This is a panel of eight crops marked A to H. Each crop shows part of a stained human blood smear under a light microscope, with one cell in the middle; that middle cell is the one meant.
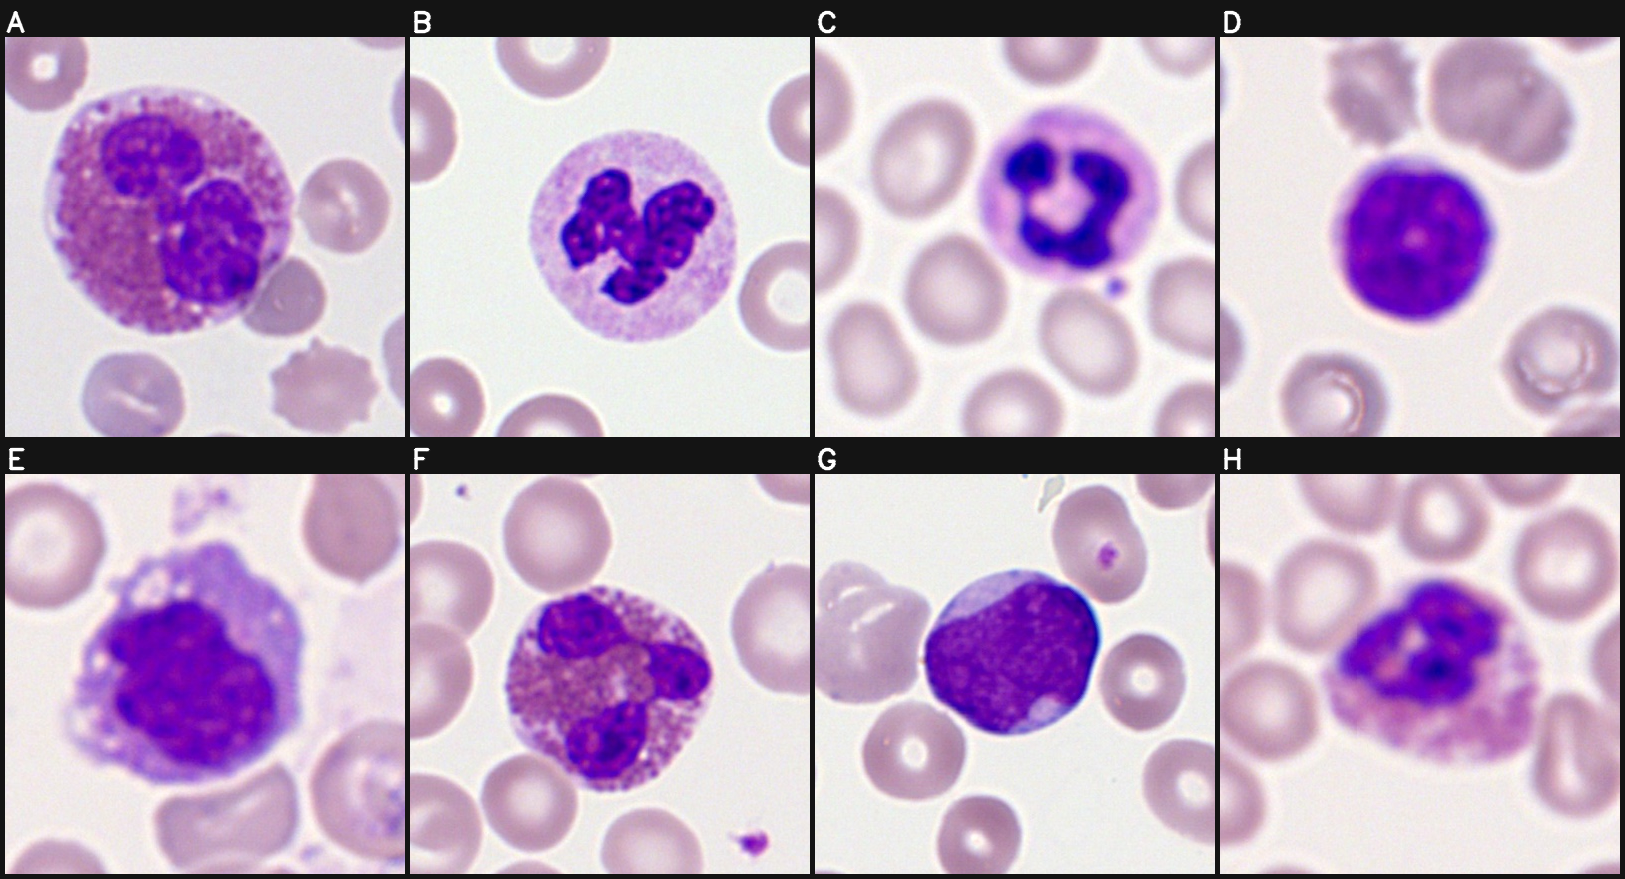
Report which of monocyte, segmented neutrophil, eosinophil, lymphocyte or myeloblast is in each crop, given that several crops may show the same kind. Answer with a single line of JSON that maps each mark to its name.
{"A": "eosinophil", "B": "segmented neutrophil", "C": "segmented neutrophil", "D": "lymphocyte", "E": "monocyte", "F": "eosinophil", "G": "myeloblast", "H": "eosinophil"}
